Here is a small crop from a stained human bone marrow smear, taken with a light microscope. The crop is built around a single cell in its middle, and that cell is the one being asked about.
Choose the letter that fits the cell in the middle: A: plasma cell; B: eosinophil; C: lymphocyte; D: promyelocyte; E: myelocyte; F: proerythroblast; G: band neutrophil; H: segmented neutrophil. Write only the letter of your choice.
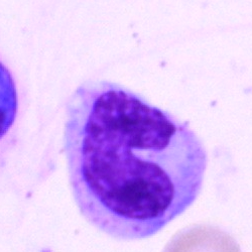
G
